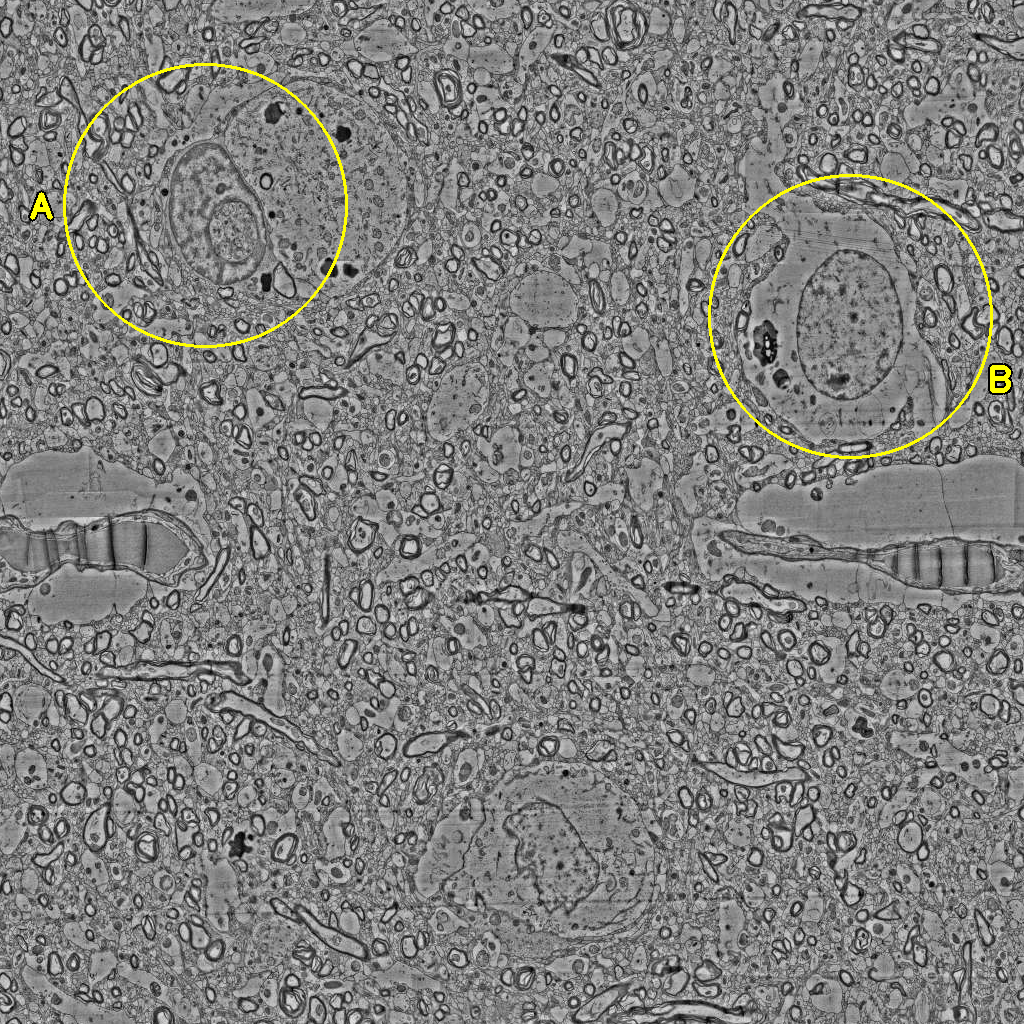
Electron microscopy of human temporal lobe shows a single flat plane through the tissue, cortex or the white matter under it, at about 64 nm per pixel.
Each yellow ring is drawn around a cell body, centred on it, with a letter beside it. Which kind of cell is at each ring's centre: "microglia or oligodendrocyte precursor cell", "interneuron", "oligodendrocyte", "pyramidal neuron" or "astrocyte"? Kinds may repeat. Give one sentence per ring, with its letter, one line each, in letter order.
Ring A is centred on an oligodendrocyte.
Ring B is centred on an astrocyte.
